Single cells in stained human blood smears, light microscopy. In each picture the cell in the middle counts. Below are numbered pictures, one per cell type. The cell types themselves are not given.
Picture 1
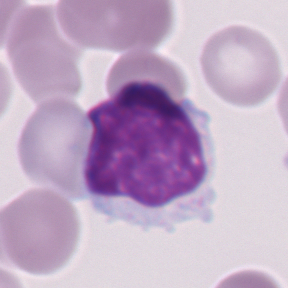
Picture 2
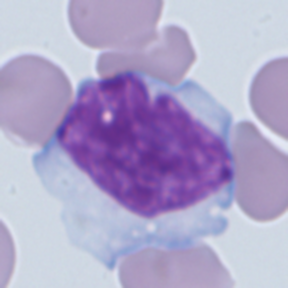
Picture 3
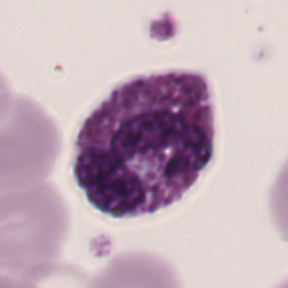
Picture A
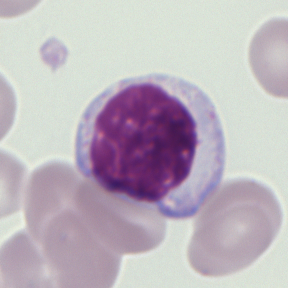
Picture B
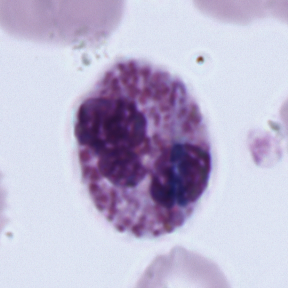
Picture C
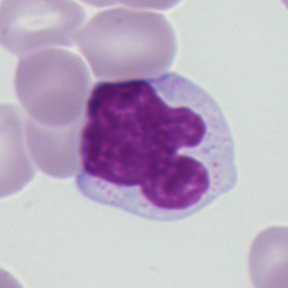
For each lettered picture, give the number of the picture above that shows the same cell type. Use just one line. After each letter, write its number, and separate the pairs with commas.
A 1, B 3, C 1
